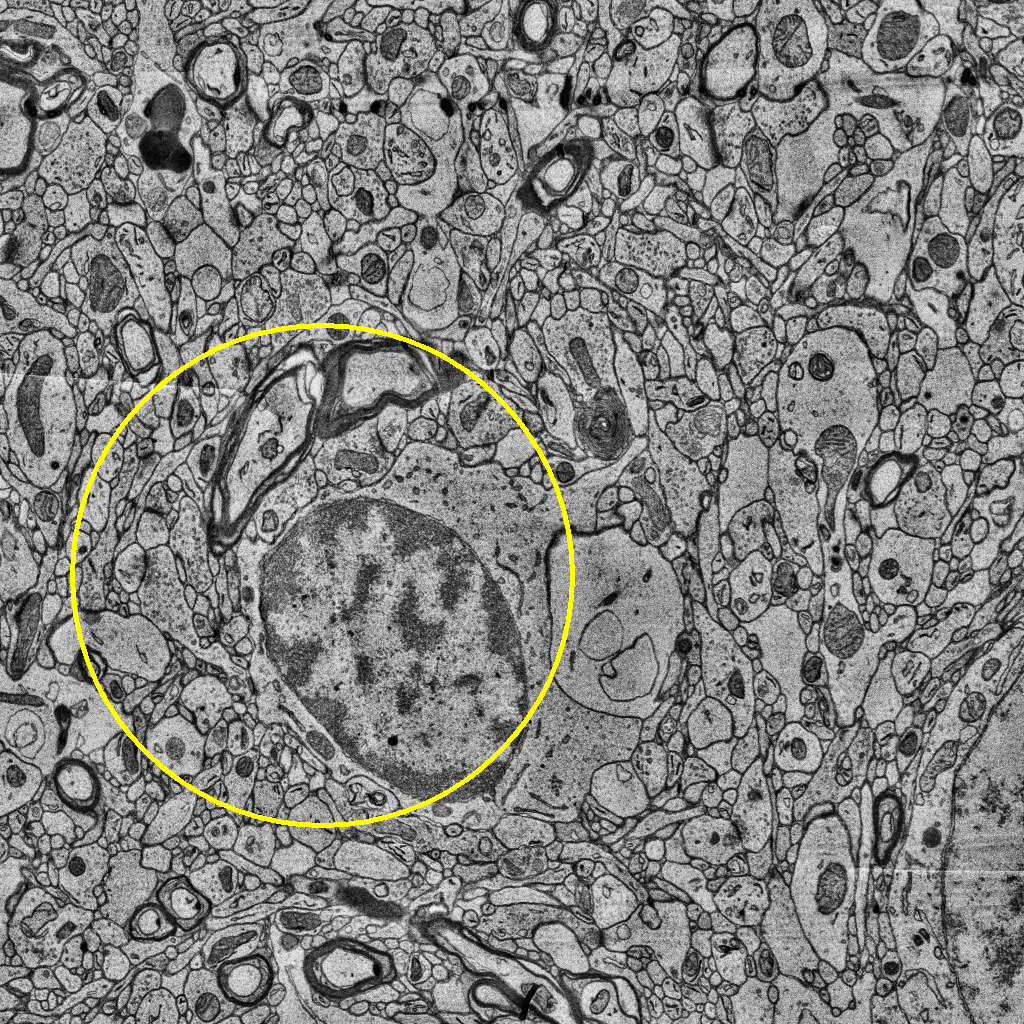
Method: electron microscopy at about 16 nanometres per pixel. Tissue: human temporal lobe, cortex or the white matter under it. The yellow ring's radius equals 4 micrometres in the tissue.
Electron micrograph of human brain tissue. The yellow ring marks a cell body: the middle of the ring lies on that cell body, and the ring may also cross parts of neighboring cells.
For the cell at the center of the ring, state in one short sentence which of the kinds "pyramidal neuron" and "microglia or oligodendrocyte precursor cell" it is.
This ring's center lies on a microglial cell or oligodendrocyte precursor cell.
